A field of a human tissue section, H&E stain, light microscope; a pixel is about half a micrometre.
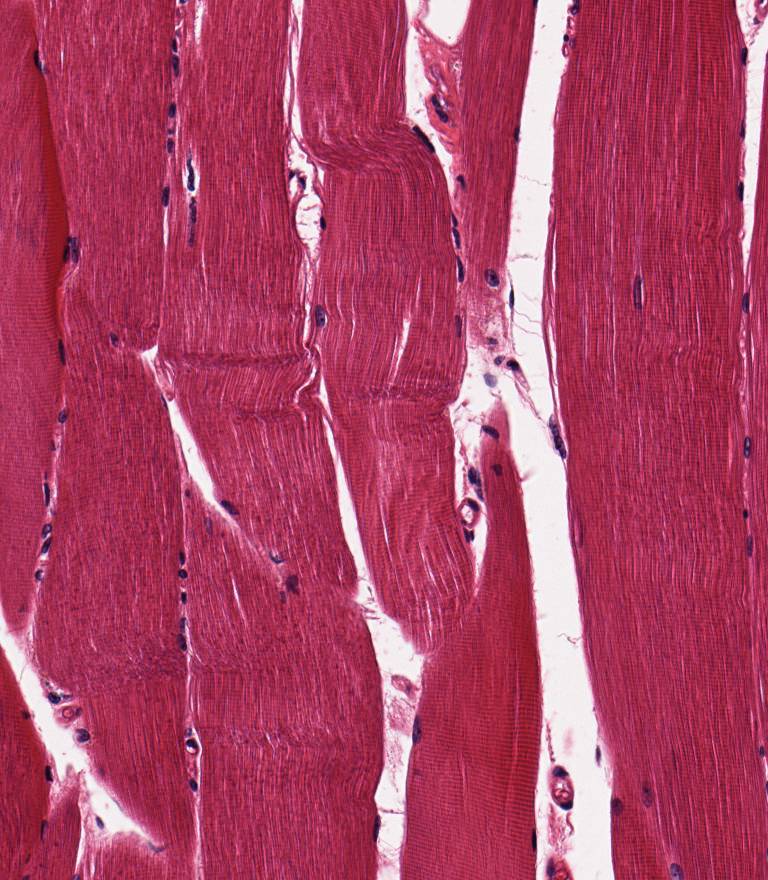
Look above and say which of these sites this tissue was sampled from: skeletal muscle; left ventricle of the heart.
skeletal muscle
